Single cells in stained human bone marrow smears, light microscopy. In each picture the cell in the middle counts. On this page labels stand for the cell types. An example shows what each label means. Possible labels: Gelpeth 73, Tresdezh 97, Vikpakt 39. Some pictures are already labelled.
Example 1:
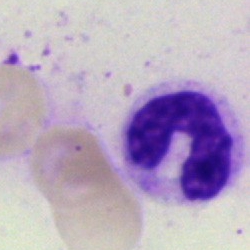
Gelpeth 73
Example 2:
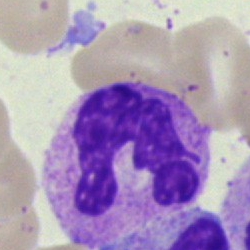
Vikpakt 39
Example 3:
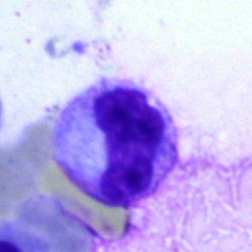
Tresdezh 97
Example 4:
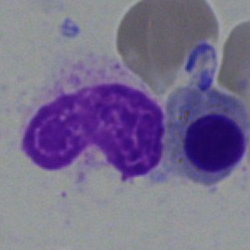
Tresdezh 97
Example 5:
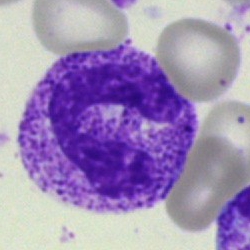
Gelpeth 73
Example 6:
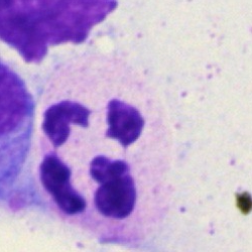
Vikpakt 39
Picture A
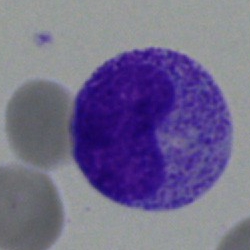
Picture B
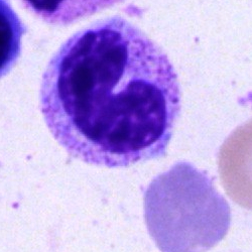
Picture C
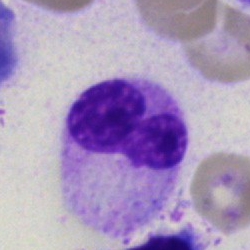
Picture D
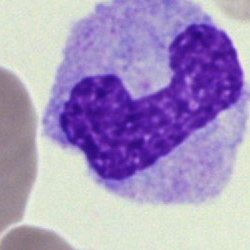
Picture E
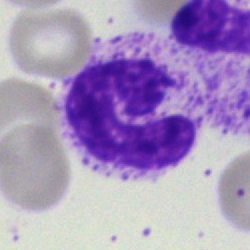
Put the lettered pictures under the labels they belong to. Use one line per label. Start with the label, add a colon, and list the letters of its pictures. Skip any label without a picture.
Gelpeth 73: D
Tresdezh 97: A, B
Vikpakt 39: C, E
